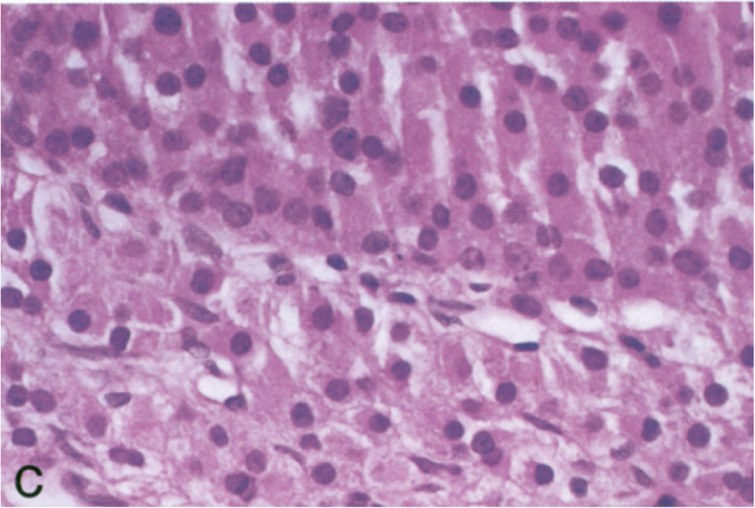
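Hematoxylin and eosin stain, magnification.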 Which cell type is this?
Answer: Luteinized cells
